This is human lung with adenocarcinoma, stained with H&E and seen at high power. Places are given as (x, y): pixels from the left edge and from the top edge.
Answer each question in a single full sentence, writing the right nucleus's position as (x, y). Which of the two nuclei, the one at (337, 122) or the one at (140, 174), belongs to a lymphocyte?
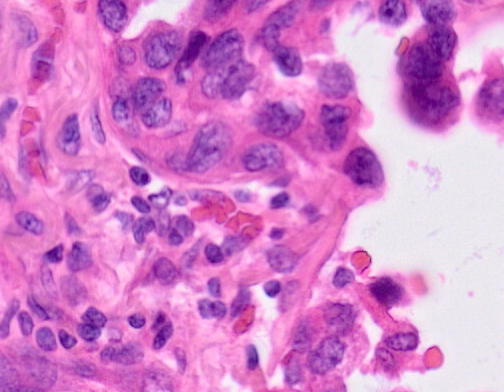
The nucleus that belongs to a lymphocyte is located at (140, 174).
